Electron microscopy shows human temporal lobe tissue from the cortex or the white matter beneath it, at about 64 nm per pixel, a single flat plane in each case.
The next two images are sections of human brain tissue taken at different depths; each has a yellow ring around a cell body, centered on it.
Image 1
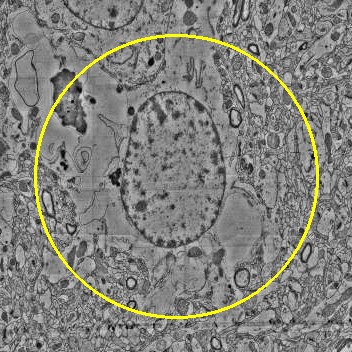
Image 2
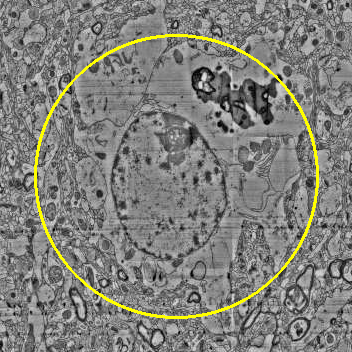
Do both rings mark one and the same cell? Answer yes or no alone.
no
